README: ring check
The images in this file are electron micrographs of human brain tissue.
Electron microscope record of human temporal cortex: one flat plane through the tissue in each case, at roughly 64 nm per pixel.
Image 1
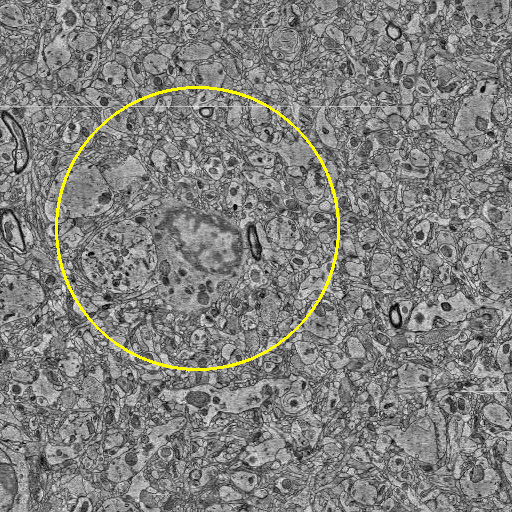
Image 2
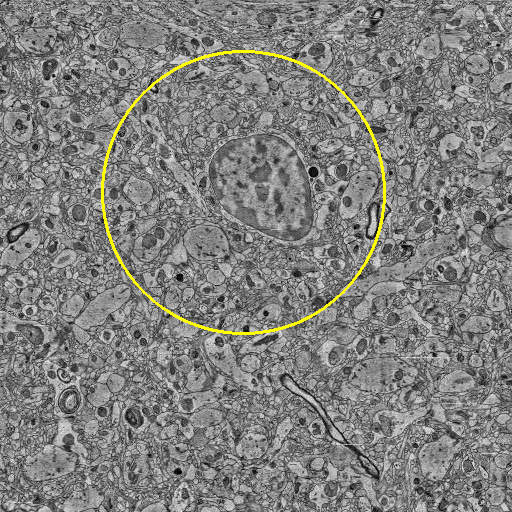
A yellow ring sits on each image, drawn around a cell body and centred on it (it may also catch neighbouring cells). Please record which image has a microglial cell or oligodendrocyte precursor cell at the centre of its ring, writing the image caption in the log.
Image 2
